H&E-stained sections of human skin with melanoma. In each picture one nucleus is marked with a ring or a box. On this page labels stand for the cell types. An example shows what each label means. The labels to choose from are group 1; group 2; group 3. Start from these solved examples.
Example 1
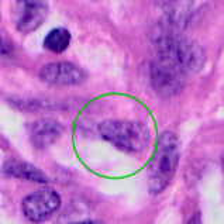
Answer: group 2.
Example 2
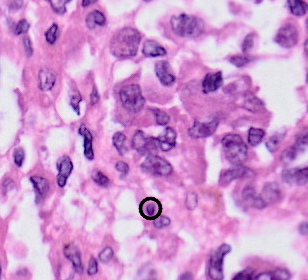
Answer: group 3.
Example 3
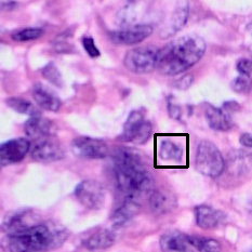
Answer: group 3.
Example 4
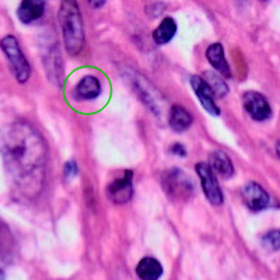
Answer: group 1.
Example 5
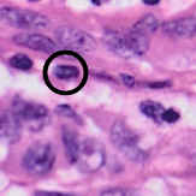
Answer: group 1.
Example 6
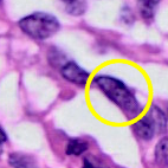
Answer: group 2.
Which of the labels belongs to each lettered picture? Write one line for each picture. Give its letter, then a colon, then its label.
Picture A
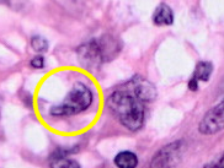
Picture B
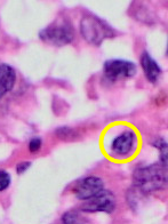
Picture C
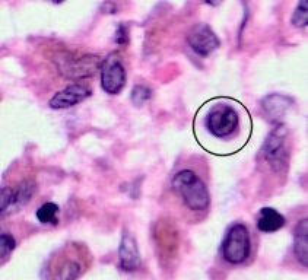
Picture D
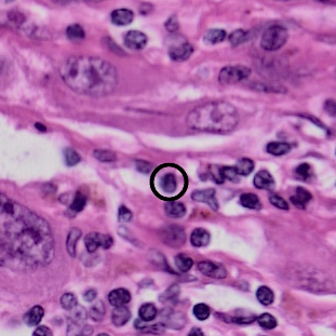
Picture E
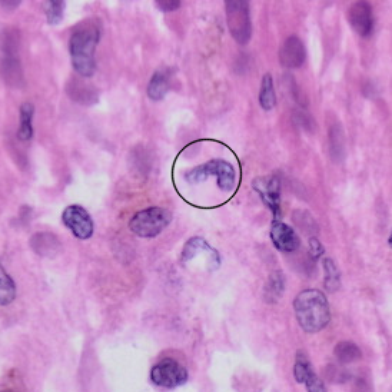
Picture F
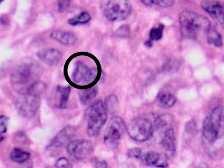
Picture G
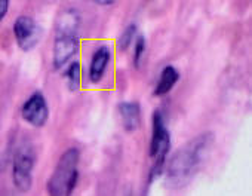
A: group 2.
B: group 1.
C: group 3.
D: group 1.
E: group 3.
F: group 2.
G: group 1.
